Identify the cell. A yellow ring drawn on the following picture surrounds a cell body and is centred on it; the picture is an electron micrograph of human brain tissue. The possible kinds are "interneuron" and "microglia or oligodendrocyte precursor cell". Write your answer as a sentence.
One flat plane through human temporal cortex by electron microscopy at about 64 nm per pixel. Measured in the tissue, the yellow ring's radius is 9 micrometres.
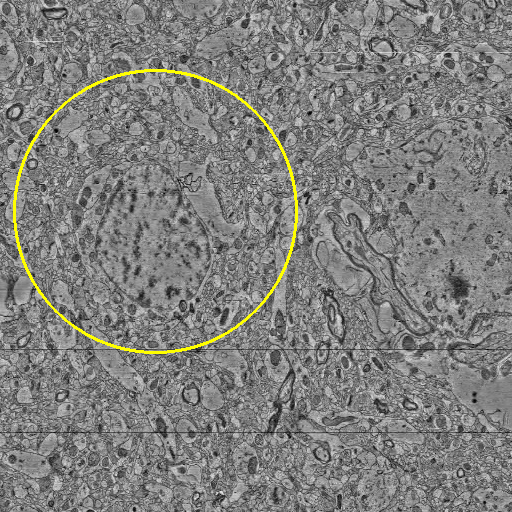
The cell identified by the ring is an interneuron.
